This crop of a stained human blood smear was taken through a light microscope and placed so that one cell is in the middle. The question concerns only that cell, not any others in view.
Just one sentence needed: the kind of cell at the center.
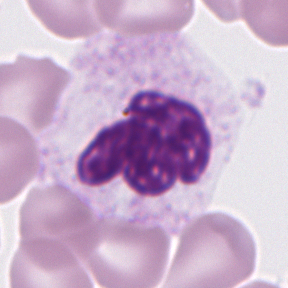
The identification for the central cell is a segmented neutrophil.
